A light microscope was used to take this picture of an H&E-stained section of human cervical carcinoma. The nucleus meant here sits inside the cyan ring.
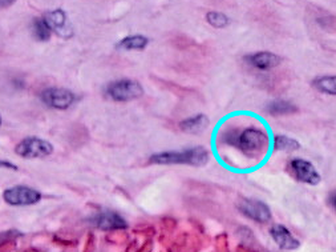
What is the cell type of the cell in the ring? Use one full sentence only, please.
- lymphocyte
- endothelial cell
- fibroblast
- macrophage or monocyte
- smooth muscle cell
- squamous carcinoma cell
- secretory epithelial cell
In this section of tissue, the cell in the ring is a macrophage or monocyte.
